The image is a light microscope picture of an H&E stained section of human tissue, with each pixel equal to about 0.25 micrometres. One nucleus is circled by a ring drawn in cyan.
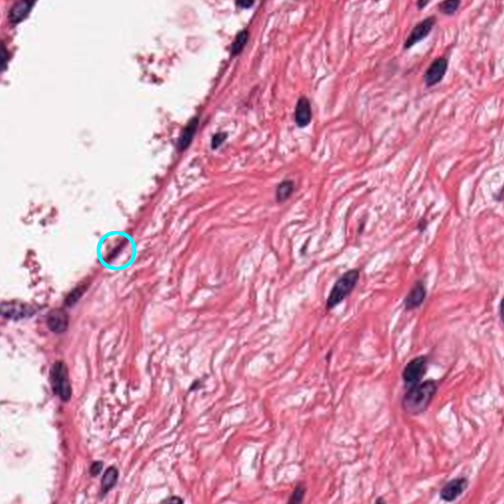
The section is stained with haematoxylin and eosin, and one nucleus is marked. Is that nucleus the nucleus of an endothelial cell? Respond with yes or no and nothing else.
yes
